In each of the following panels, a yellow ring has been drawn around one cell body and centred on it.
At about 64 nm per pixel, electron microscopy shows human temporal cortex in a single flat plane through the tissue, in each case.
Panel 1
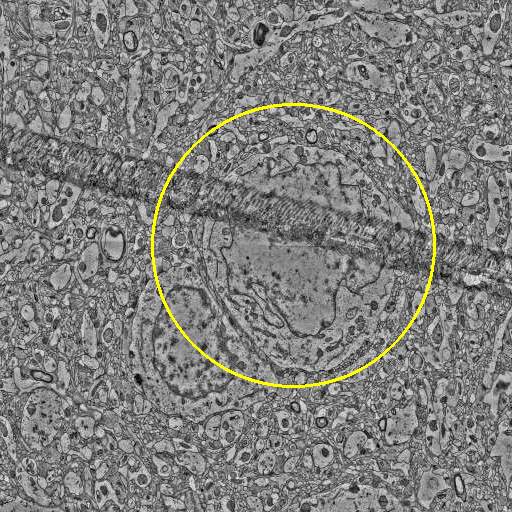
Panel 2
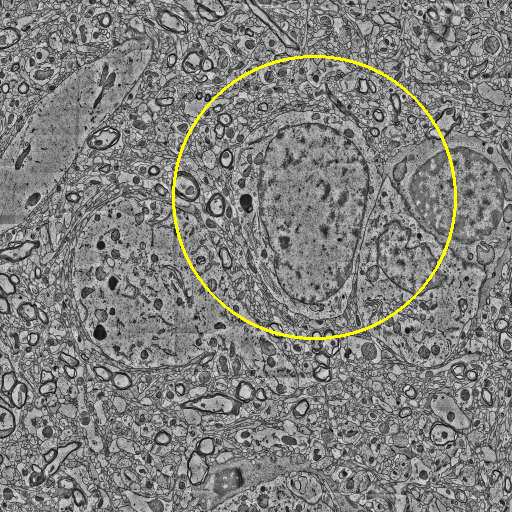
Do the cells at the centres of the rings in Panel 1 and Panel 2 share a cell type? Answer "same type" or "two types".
same type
